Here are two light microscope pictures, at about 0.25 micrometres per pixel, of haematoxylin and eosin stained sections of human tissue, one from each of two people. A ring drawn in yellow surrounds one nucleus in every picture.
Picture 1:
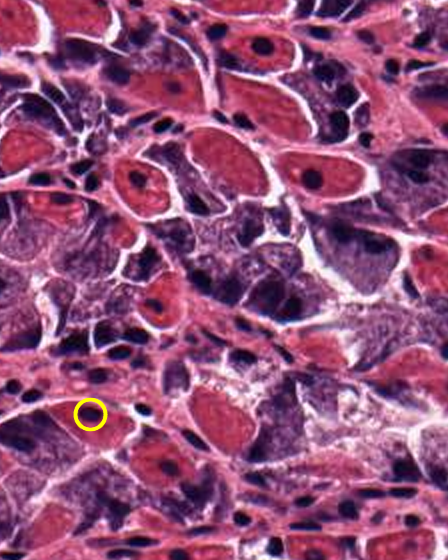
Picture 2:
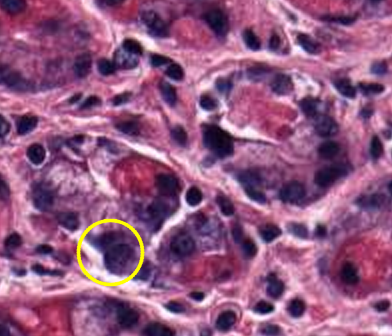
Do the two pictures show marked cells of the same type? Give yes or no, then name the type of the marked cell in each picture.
No, the first is a parietal cell and the second a chief cell.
